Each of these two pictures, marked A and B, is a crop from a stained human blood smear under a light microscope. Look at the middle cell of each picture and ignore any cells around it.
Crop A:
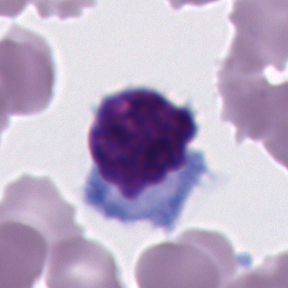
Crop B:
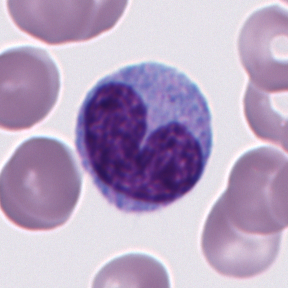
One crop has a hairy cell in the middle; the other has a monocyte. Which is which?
A: hairy cell
B: monocyte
